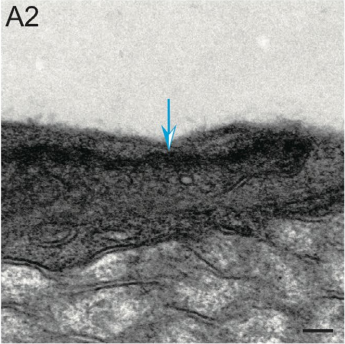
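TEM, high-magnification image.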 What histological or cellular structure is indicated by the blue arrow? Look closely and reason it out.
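Tight junctions. An electron-dense zone where two cell membranes lie closely apposed at the luminal side.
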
